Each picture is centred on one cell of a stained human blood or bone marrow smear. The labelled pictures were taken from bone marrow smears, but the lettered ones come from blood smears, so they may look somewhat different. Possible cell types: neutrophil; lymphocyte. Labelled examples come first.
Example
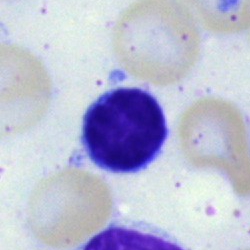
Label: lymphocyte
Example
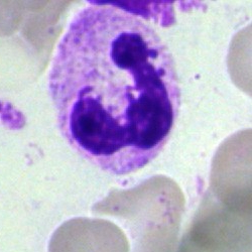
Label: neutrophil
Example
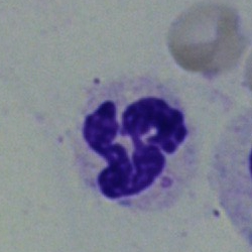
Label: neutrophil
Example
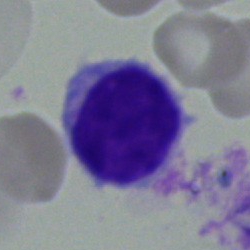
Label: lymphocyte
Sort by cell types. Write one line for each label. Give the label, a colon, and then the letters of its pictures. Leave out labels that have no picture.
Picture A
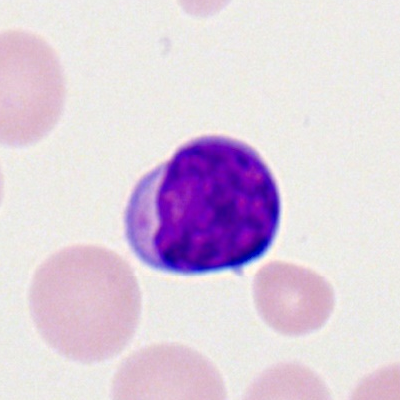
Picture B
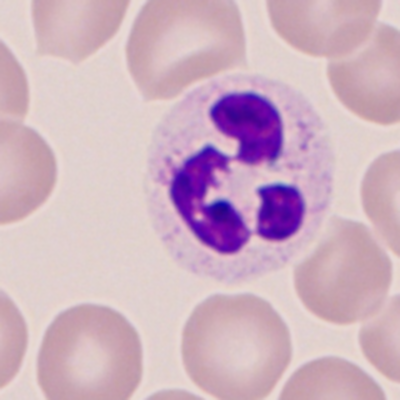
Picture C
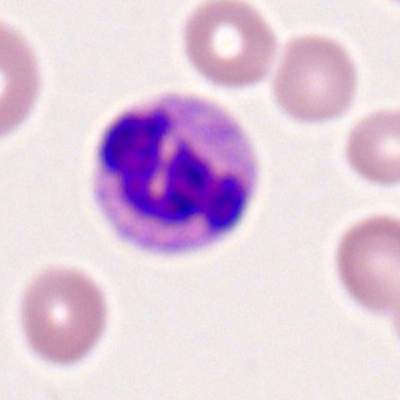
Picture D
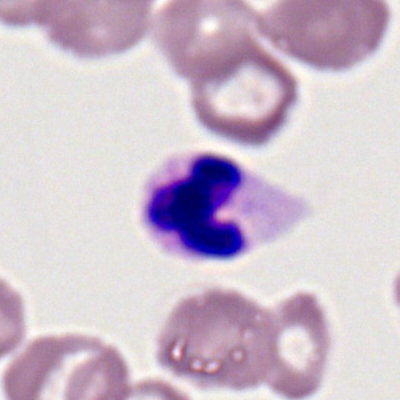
neutrophil: B, C, D
lymphocyte: A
